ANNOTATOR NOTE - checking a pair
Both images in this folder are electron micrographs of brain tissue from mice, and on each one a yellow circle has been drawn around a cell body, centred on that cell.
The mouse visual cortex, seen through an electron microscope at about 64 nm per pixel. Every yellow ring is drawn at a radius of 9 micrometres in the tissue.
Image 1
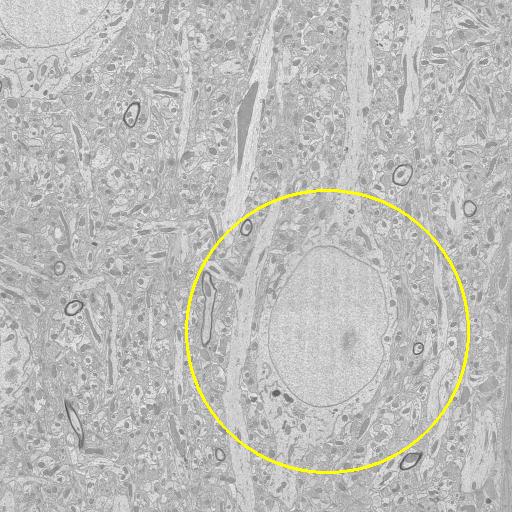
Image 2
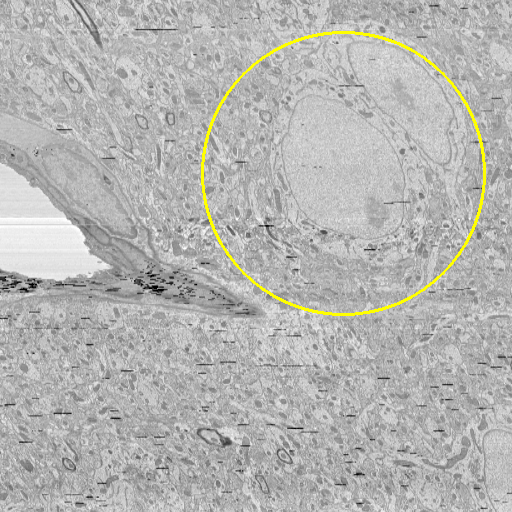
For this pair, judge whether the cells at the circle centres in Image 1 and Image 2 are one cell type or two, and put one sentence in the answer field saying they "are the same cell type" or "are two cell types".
For this pair, the cells at the circle centres in Images 1 and 2 are the same cell type.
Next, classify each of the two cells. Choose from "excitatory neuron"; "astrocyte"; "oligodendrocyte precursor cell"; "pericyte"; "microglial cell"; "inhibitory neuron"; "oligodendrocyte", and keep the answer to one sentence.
Each of the two rings surrounds an excitatory neuron.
